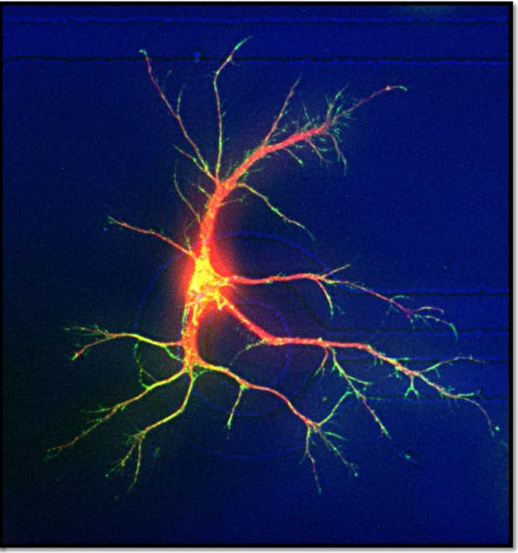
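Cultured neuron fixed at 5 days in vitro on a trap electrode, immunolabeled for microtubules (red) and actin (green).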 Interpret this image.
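From the cell body several thick processes radiate out and branch repeatedly, forming a broad, tree-like arbour. The main shafts are red along their length, while the thinner side branches and especially the many short, spiky tips at the ends glow green. Where red and green overlap, near the cell body and along the larger trunks, the colour appears yellow. The branching is richest on the right and lower side.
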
